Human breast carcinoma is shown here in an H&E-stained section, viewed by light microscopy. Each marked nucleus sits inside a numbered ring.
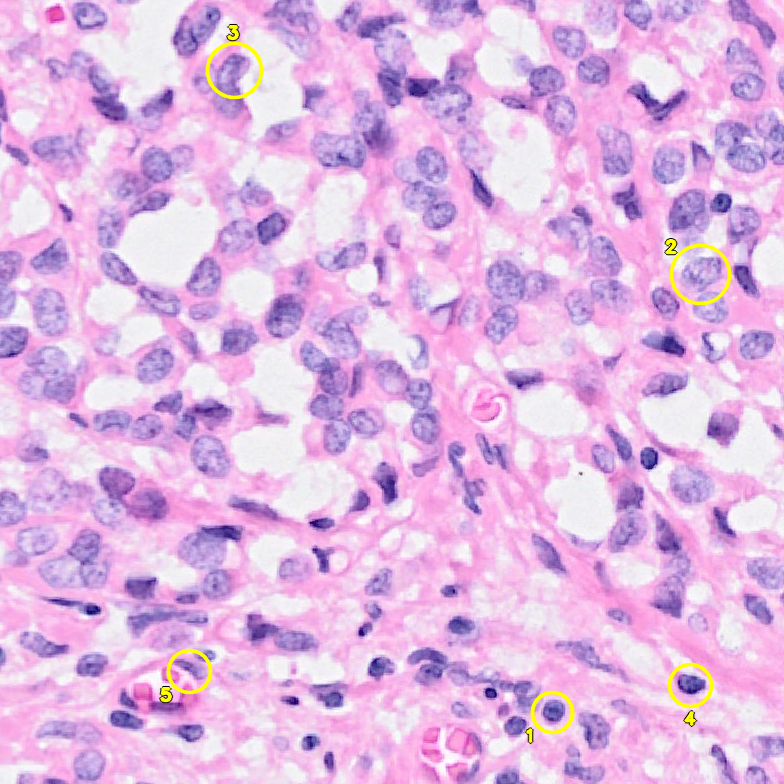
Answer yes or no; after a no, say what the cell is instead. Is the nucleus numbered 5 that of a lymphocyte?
No, it is an endothelial cell.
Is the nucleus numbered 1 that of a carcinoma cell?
No, it is a lymphocyte.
